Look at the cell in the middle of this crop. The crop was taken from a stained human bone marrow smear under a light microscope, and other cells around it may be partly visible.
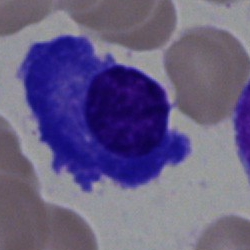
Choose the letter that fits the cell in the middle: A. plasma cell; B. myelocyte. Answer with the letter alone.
A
